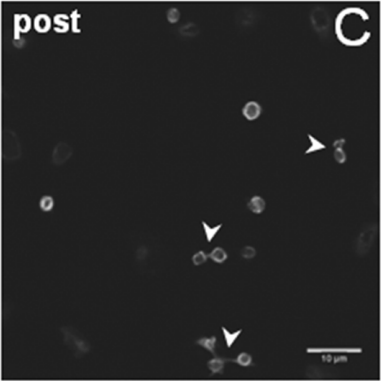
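Scattered small round platelets are seen, each outlined by a bright ring of signal at its rim with a darker centre. A few cells are not single discs: two or three rounded bodies lie joined in a chain, and one has short projections from its bodies. The ringed round cells are discoid platelets, while the joined, multi-bodied forms are proplatelets.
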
